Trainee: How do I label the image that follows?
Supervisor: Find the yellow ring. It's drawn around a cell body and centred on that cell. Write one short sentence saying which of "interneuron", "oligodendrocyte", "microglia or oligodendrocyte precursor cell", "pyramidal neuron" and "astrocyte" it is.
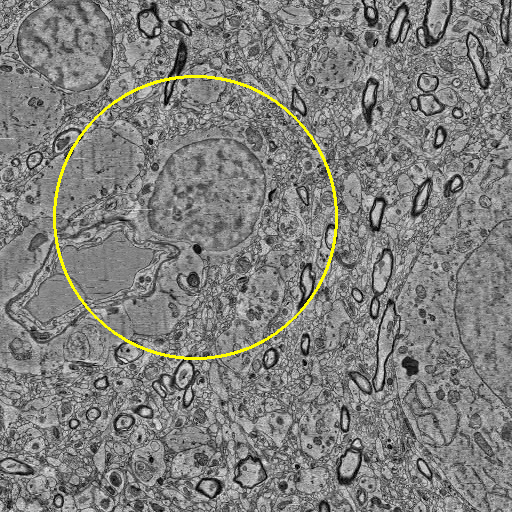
This is the cell body of an oligodendrocyte.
